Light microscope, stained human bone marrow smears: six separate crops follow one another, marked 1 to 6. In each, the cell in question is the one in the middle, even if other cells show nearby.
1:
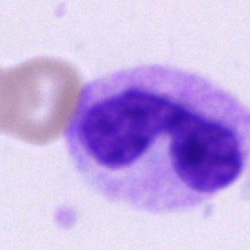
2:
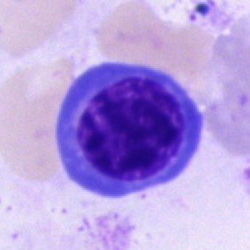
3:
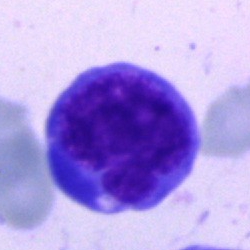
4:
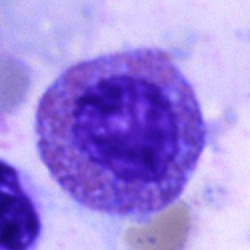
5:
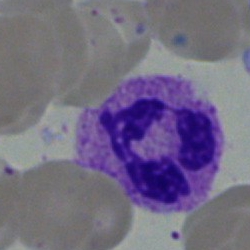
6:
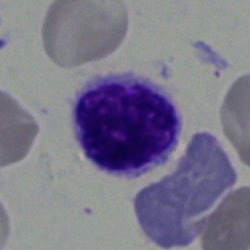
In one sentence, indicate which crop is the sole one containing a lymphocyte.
Crop 6 is the one in the set with a lymphocyte at the center.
